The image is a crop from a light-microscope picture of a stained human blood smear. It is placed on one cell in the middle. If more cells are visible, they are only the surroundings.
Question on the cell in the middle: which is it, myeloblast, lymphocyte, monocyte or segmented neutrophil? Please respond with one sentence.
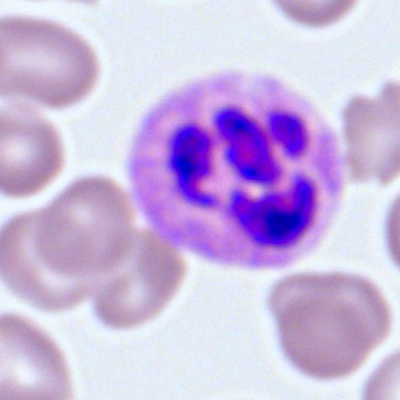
This crop's central cell is a segmented neutrophil.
